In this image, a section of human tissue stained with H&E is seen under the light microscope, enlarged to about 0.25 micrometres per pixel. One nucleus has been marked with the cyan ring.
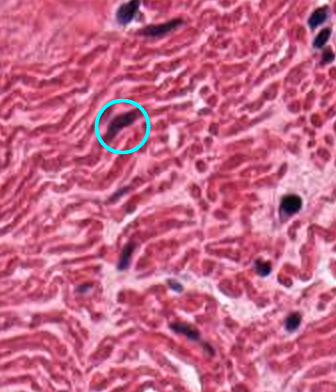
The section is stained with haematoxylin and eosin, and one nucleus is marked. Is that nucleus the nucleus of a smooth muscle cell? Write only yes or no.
yes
